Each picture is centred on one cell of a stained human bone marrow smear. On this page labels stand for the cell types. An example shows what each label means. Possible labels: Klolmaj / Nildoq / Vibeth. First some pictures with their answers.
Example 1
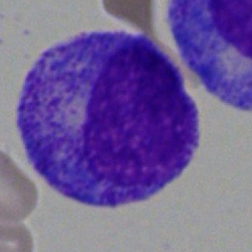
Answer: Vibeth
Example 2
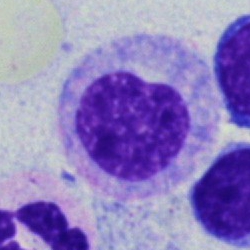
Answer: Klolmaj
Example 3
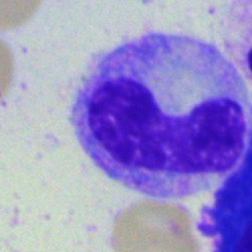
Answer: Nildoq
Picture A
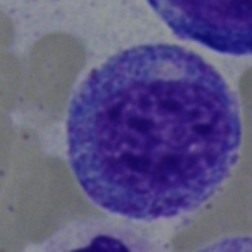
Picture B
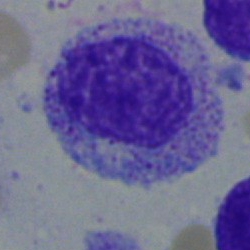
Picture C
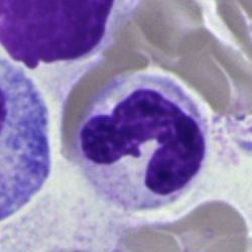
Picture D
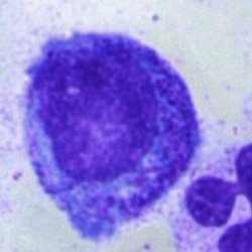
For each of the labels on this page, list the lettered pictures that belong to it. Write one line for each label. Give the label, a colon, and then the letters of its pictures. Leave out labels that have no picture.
Klolmaj: B
Nildoq: C
Vibeth: A, D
